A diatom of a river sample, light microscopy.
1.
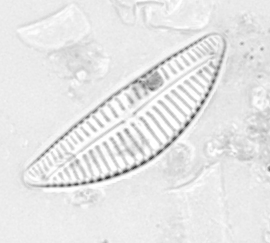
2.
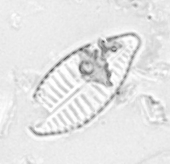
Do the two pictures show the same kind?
No: Encyonema, then Gomphonema.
